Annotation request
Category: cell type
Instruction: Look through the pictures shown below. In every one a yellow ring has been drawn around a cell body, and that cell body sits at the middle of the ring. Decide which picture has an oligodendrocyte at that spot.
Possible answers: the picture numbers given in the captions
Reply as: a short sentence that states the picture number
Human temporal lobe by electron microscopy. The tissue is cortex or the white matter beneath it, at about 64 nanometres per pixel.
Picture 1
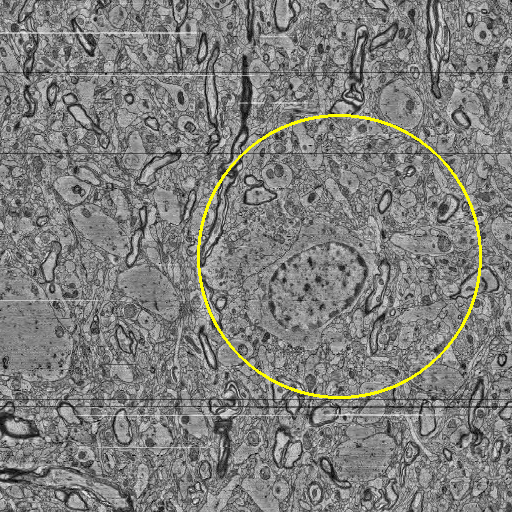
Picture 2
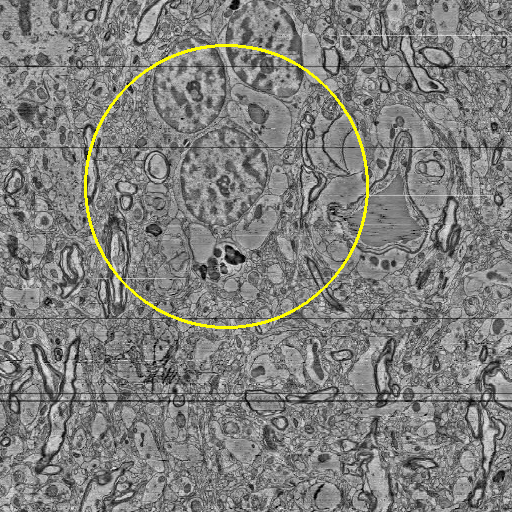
It is in Picture 2.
